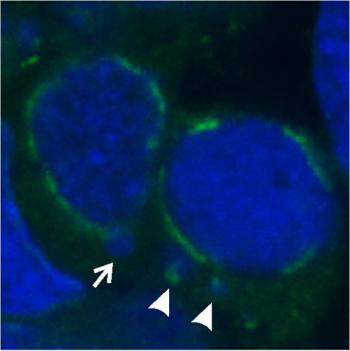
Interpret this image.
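Below the left nucleus lies a small round blue micronucleus without a green rim. Below the right nucleus lie two small blue bodies of different sizes with a few green dots beside them. Parts of other cells are seen at the edges.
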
